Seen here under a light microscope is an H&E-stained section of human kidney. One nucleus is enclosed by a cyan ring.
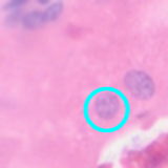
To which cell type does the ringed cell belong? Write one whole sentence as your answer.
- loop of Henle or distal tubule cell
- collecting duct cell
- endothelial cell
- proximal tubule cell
In this tissue sample, the ringed cell is a proximal tubule cell.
